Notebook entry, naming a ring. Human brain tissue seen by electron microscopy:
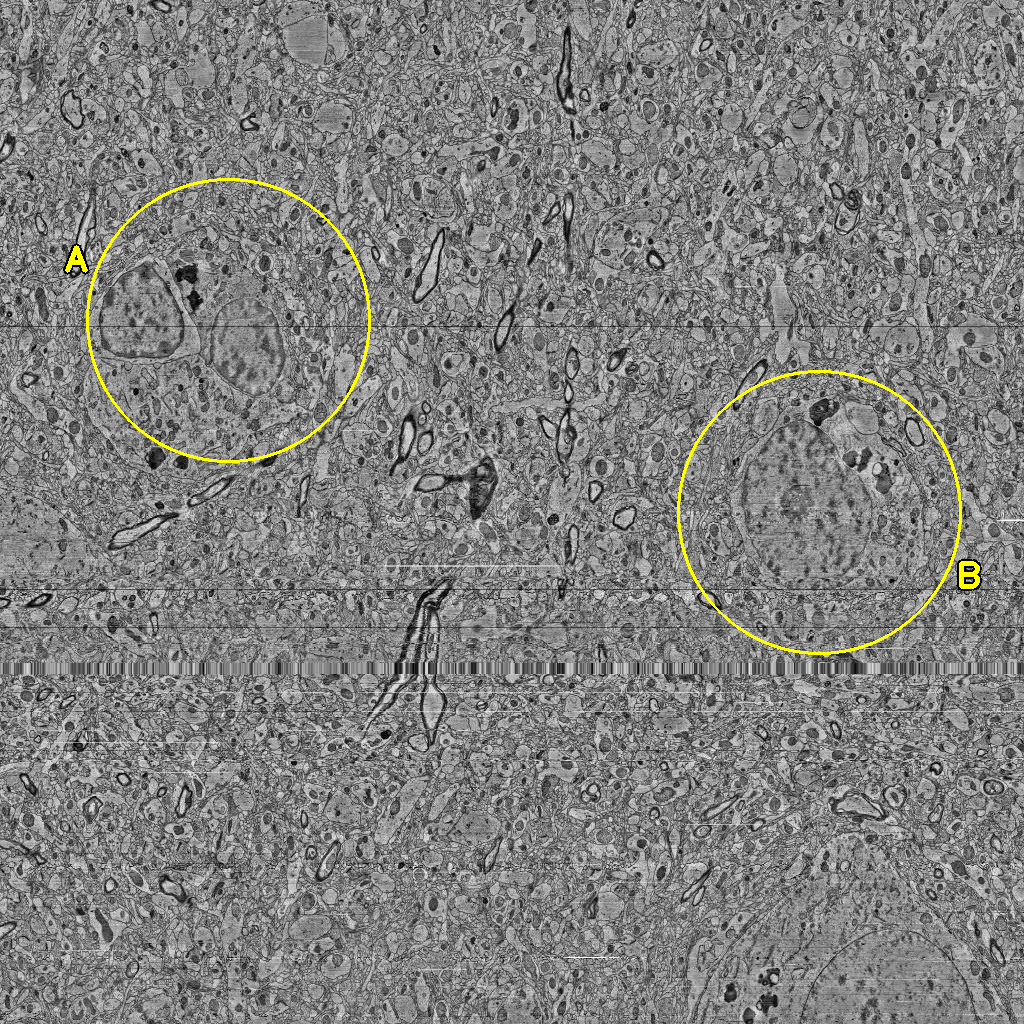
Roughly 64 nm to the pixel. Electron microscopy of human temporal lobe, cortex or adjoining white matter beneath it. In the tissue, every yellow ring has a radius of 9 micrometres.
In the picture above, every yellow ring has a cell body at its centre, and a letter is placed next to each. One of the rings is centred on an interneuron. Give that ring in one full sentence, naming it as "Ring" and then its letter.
Ring B is the ring whose centre holds the cell asked for.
